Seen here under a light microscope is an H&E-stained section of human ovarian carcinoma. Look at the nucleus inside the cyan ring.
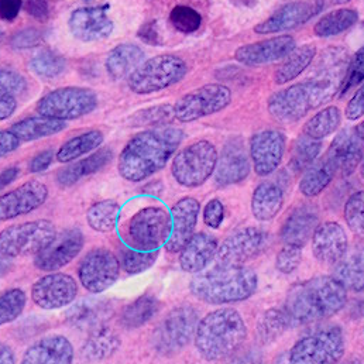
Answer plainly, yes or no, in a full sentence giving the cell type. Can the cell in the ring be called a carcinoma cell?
Yes, identifying the cell in the ring as a carcinoma cell is right.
